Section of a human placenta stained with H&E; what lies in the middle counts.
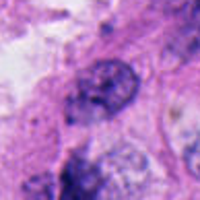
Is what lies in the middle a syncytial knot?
No, it is a cytotrophoblast.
